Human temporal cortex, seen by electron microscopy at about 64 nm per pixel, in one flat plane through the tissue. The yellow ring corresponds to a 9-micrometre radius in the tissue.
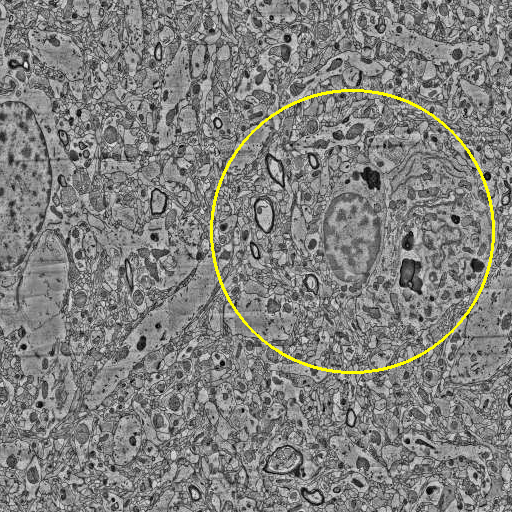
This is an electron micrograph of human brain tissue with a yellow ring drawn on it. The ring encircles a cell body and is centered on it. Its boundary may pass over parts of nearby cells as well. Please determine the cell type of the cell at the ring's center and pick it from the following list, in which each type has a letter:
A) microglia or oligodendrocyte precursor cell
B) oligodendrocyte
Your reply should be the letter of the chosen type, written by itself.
B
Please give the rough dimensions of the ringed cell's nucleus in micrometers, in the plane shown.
About 6 by 4 micrometers in this plane, so the nucleus is clearly longer than it is wide.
